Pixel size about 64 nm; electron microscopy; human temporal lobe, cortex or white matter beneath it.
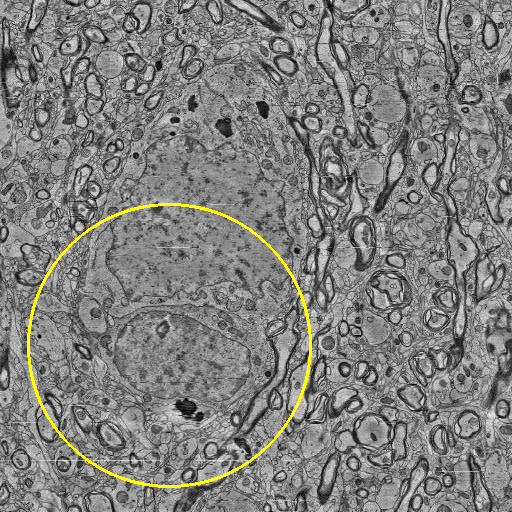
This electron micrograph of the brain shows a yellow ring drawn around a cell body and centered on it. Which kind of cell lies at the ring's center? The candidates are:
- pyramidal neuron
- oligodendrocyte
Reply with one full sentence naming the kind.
The cell lying at the ring's center in this micrograph is an oligodendrocyte.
